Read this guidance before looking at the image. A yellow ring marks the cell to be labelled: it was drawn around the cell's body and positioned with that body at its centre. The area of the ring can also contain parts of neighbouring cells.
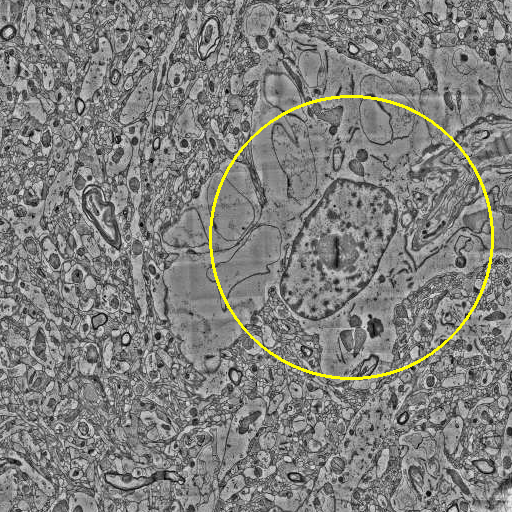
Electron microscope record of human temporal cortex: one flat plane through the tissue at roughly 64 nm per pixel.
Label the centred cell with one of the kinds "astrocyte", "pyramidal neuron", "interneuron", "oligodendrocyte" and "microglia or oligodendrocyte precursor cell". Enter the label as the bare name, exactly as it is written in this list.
astrocyte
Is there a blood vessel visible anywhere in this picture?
Yes, the picture includes a blood vessel.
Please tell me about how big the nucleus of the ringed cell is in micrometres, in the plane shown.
The nucleus of the ringed cell is clearly longer than it is wide in this plane, about 10 by 6 micrometres.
